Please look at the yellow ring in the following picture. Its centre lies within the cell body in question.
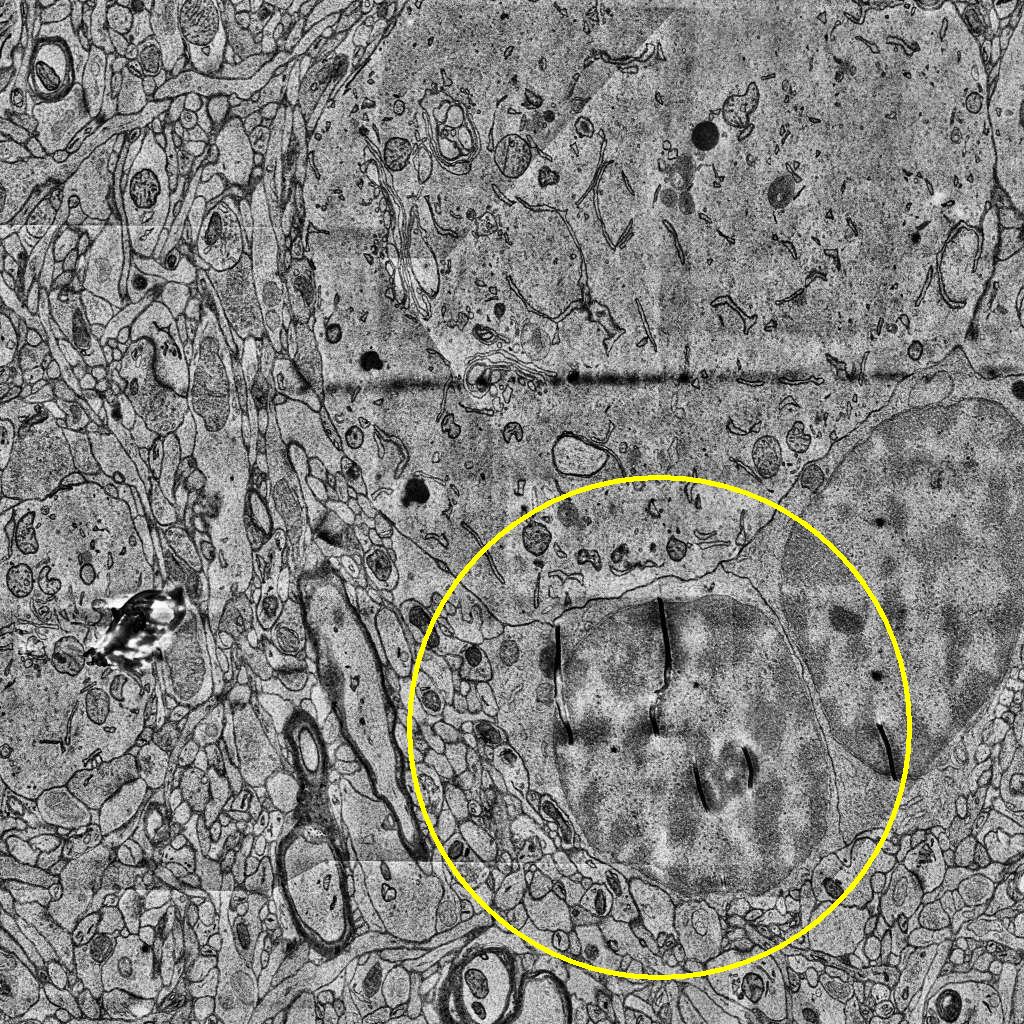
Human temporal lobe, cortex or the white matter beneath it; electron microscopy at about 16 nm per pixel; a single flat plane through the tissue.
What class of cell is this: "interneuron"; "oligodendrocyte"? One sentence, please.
The centre of the ring lies in the cell body of an oligodendrocyte.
